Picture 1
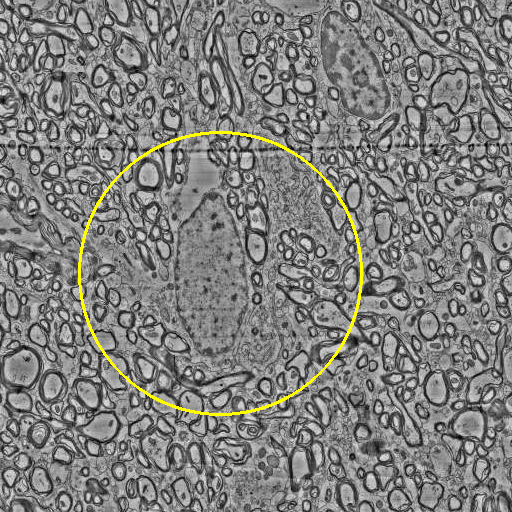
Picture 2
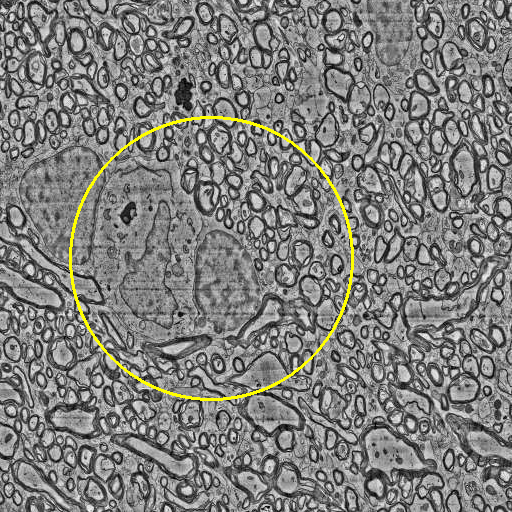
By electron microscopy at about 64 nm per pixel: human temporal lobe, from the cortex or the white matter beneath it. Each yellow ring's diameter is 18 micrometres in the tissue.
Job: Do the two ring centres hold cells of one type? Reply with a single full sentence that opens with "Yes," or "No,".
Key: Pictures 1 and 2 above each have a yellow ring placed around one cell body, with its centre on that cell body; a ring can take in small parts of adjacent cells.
No, the cells at the two ring centres are of two separate types.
